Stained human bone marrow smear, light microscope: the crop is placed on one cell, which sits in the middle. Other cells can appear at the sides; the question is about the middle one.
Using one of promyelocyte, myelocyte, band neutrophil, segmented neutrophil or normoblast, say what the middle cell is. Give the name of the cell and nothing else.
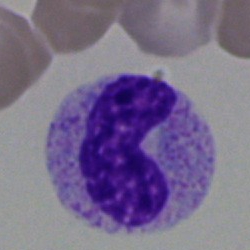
band neutrophil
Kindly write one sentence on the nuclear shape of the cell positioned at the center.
Round, oval or kidney-shaped, the nucleus is one compact mass.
